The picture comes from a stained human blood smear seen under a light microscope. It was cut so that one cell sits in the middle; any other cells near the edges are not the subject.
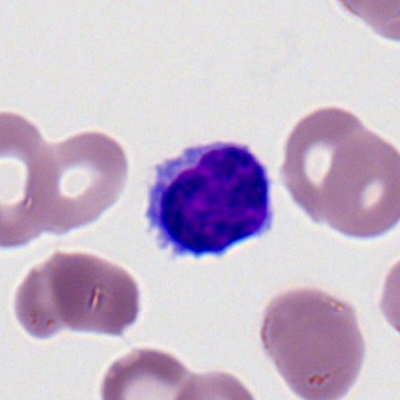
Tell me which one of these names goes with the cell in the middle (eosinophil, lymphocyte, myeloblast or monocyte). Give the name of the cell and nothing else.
lymphocyte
